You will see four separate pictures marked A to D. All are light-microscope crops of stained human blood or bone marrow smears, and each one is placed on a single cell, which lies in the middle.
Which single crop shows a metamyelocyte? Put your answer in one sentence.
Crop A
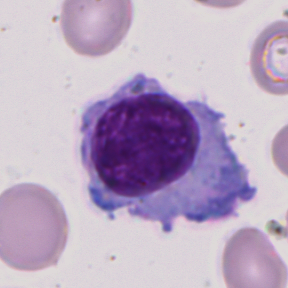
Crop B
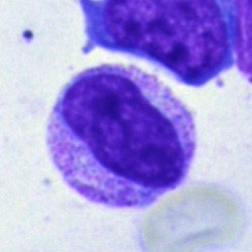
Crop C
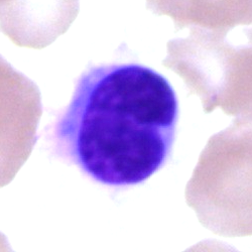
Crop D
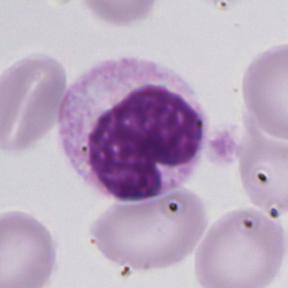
The cell at the center of crop B is the one that is a metamyelocyte.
